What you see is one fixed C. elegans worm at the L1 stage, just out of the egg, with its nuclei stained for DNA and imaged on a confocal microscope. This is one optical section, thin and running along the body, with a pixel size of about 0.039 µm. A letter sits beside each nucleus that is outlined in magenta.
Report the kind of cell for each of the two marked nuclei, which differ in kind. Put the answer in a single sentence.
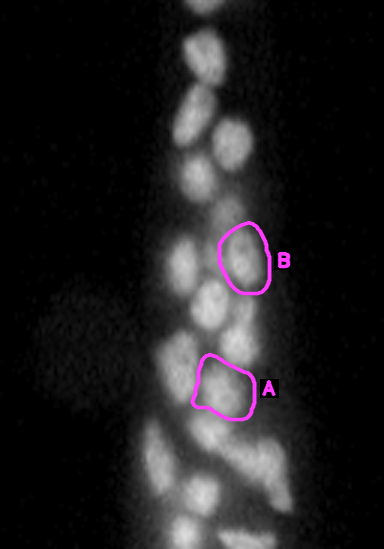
Nucleus A comes from a neuron and nucleus B from a body wall muscle cell.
